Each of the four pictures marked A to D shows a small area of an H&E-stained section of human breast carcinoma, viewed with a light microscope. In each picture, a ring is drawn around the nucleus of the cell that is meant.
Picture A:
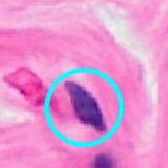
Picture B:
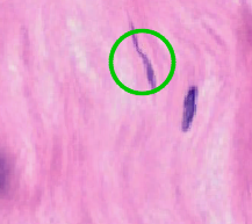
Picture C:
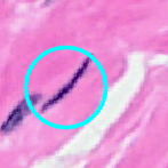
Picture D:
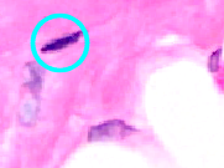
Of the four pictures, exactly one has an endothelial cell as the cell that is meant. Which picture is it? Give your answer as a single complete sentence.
Picture A is the one that shows the endothelial cell.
